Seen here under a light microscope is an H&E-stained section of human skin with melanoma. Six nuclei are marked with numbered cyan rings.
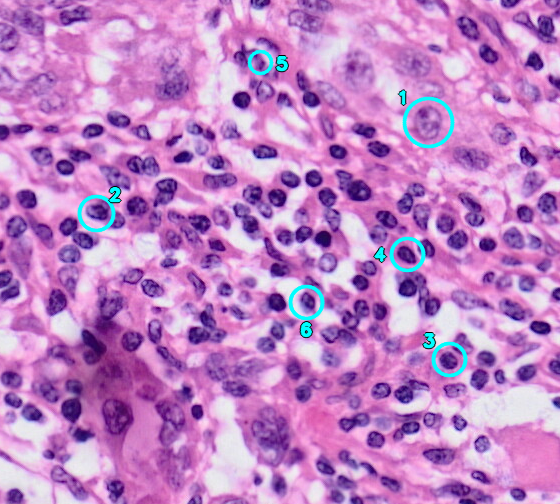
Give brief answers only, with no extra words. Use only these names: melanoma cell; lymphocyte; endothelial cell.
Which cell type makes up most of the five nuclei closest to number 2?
lymphocyte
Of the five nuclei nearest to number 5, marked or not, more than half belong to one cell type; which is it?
endothelial cell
